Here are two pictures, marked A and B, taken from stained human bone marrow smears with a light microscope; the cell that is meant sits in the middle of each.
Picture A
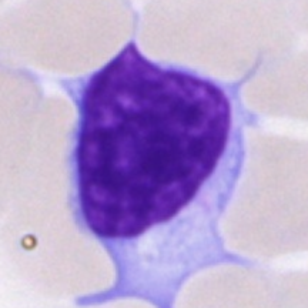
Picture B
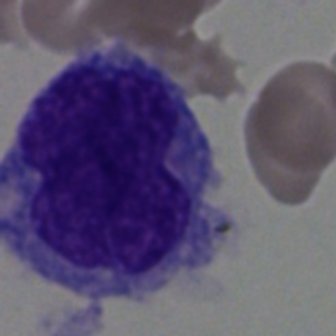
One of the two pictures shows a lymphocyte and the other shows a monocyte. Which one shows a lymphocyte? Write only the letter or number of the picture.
A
